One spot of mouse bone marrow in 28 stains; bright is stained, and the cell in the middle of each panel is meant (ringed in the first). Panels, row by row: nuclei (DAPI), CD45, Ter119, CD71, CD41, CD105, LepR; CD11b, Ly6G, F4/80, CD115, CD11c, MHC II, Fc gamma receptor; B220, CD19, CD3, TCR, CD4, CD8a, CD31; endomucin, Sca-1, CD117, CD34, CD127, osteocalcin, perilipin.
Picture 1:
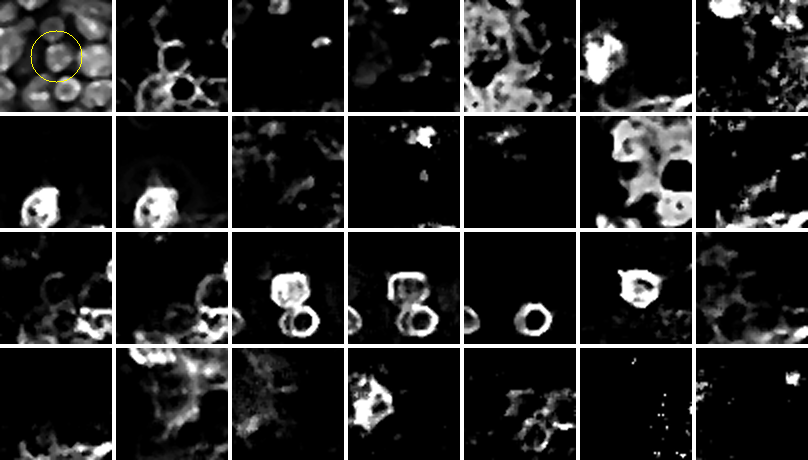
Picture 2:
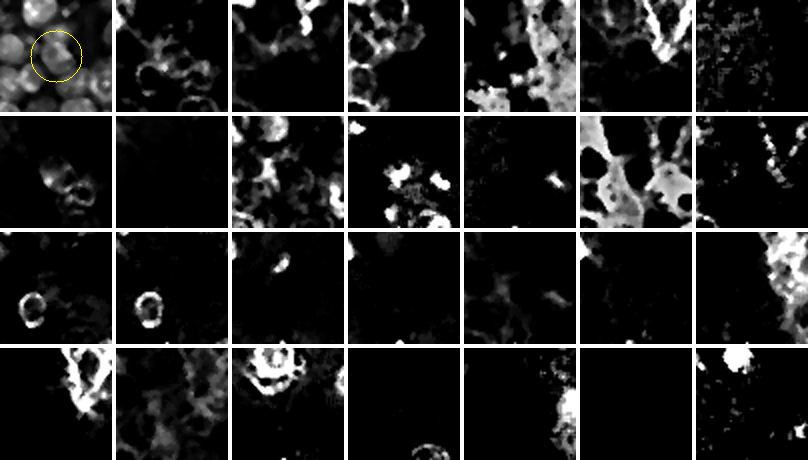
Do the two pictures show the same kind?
No: a CD8 T cell, then a monocyte.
